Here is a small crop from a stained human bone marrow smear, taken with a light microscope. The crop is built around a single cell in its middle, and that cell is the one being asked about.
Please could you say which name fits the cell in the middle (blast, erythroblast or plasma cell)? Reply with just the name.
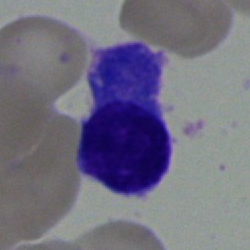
plasma cell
